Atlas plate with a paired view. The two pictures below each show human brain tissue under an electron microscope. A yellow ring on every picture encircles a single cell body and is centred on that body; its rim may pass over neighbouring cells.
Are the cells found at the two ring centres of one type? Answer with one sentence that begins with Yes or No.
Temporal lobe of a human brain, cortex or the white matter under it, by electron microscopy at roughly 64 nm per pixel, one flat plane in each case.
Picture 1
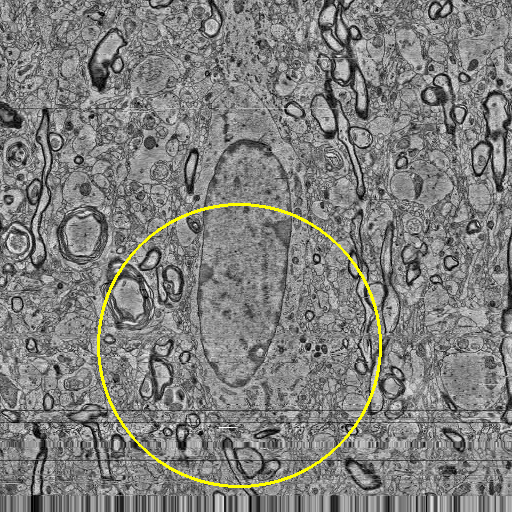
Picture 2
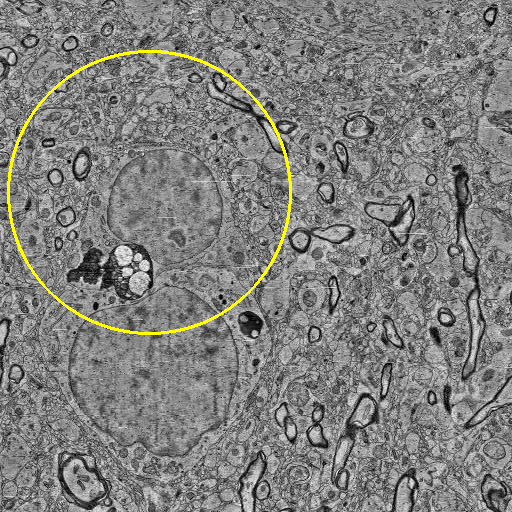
No, the two cells lying at the centres of the rings are of two types.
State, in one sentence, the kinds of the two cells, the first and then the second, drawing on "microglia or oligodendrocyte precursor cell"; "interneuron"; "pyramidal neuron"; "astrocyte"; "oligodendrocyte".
The ring in the second picture is centred on an oligodendrocyte, the ring in the first on a microglial cell or oligodendrocyte precursor cell.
